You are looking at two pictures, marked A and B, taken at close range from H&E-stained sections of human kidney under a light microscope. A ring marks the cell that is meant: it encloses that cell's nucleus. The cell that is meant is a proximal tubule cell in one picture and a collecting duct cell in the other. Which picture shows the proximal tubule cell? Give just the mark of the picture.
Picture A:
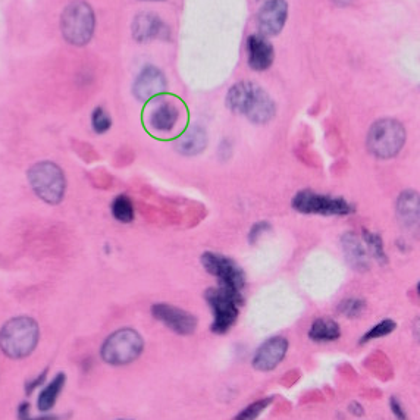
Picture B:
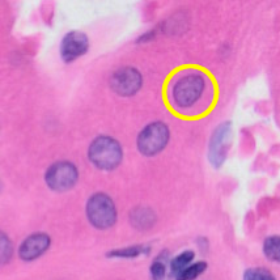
B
